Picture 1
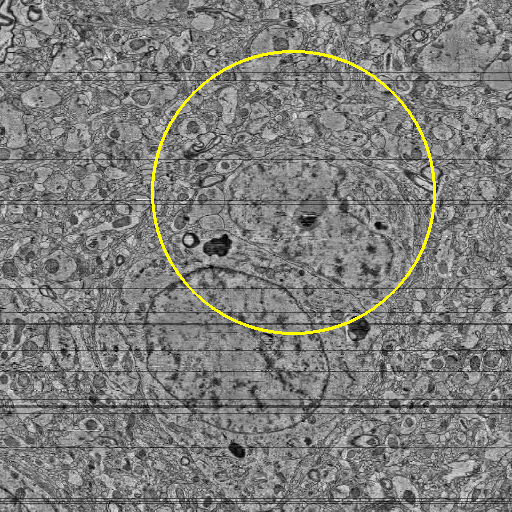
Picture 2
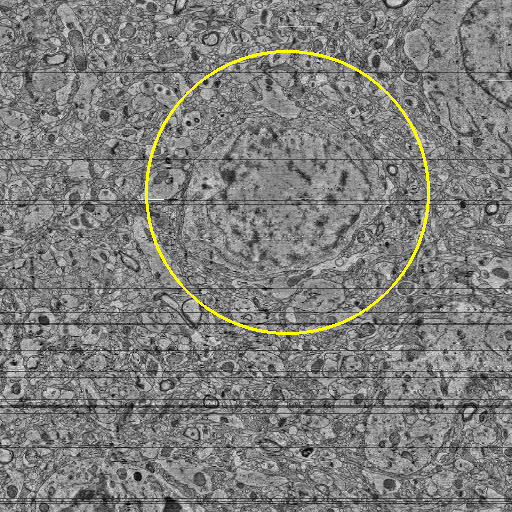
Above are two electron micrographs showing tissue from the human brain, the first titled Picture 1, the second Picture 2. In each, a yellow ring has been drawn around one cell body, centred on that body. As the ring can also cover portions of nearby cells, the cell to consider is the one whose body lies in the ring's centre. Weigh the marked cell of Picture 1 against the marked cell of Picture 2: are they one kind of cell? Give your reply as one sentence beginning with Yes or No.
Yes, the two cells sitting at the ring centres in the pictures are of one kind.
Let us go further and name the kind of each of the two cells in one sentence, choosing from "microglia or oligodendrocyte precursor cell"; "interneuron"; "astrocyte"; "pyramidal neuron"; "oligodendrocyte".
Each cell, in the first picture and the second, is an interneuron.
